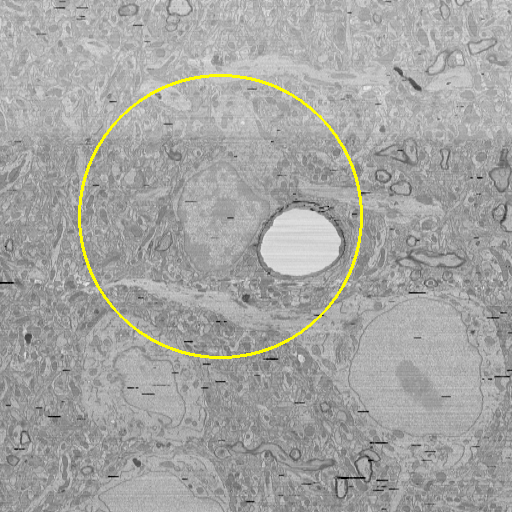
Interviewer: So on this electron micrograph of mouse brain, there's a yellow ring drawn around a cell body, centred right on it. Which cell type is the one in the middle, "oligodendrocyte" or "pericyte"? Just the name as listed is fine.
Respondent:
oligodendrocyte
